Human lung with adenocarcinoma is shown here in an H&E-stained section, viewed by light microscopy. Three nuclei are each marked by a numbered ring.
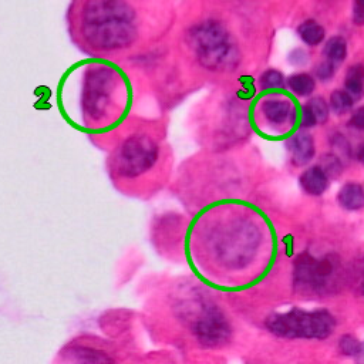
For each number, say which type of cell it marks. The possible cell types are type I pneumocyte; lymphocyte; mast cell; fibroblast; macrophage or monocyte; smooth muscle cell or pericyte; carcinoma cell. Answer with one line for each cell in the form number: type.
1: carcinoma cell
2: carcinoma cell
3: lymphocyte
